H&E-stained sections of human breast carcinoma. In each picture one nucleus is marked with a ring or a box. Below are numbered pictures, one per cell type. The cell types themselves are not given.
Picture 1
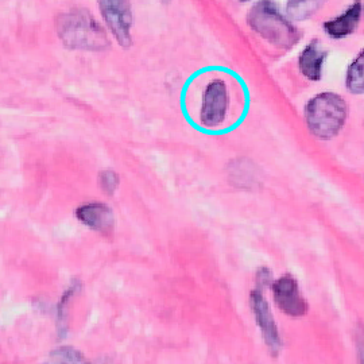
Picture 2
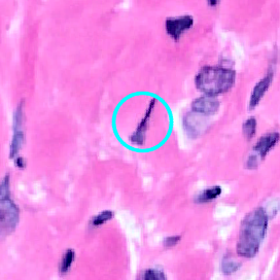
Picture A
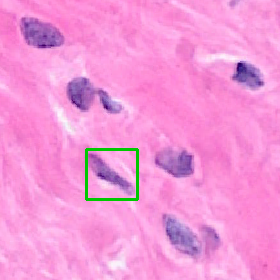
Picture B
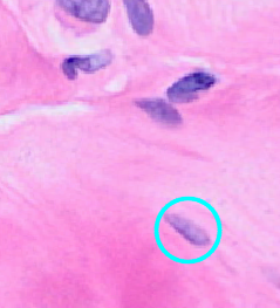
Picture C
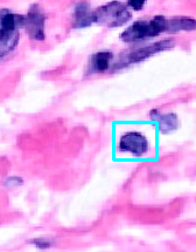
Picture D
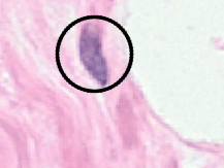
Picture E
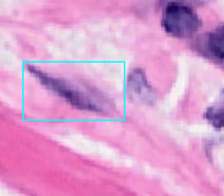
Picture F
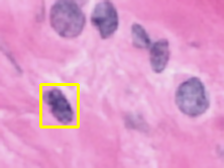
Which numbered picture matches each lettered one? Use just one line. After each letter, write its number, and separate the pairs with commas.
A 2, B 2, C 1, D 2, E 2, F 1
